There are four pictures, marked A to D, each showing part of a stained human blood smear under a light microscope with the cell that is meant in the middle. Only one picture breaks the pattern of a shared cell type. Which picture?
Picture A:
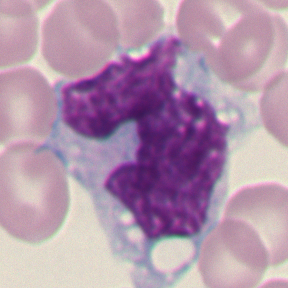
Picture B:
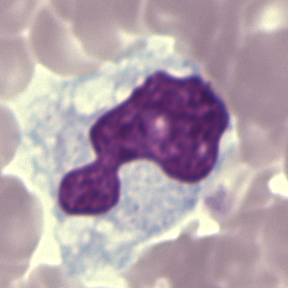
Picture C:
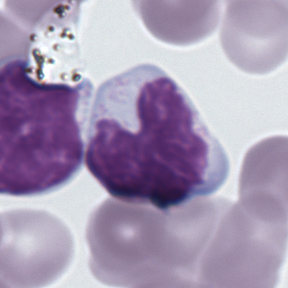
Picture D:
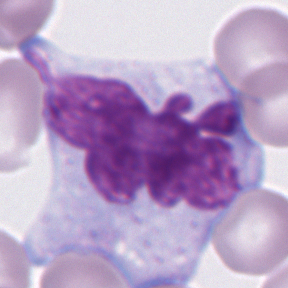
C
